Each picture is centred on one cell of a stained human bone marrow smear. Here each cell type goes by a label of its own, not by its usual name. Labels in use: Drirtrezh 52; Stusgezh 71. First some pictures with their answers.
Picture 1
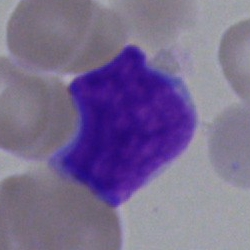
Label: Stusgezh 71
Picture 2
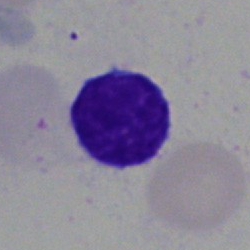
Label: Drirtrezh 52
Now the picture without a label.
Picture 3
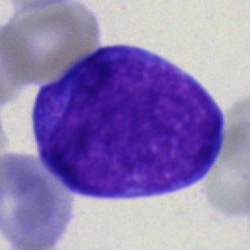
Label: Stusgezh 71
